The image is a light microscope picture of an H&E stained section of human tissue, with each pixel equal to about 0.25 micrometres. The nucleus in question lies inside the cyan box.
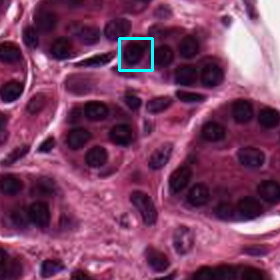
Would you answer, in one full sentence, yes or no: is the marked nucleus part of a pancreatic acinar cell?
Yes, the marked nucleus is assigned to a pancreatic acinar cell.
